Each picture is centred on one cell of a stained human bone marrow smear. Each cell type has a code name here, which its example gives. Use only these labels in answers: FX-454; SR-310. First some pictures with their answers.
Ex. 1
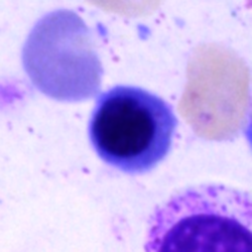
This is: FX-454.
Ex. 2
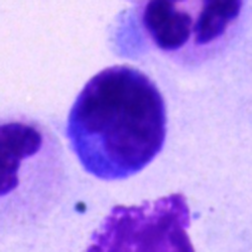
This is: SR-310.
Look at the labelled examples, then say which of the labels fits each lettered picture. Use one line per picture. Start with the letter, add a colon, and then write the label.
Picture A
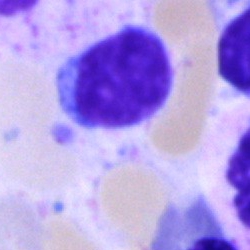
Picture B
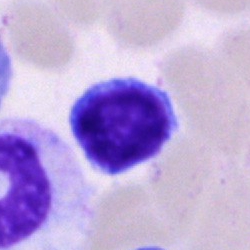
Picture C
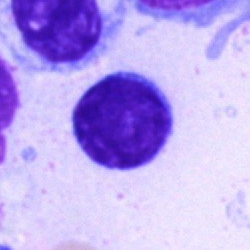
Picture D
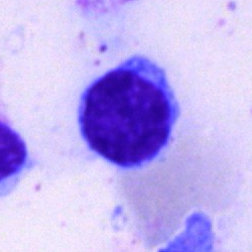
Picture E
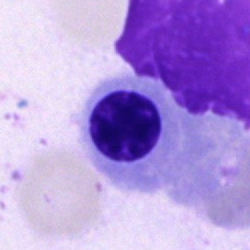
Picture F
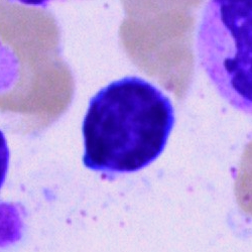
A: SR-310.
B: SR-310.
C: SR-310.
D: SR-310.
E: FX-454.
F: SR-310.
